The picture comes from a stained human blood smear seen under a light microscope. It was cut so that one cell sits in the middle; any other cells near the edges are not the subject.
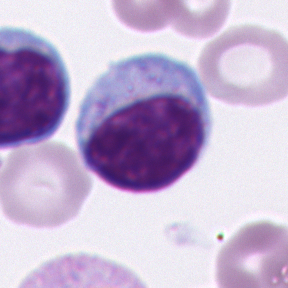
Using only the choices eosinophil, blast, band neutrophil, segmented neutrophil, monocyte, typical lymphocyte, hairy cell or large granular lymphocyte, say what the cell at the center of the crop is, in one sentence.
At the center of the crop sits a typical lymphocyte.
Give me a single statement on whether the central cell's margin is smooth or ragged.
Its outline is smooth, with no projections anywhere along the edge.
